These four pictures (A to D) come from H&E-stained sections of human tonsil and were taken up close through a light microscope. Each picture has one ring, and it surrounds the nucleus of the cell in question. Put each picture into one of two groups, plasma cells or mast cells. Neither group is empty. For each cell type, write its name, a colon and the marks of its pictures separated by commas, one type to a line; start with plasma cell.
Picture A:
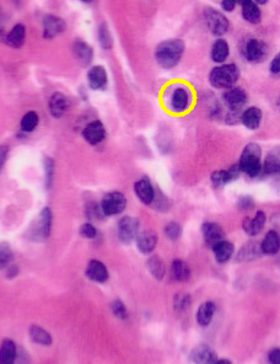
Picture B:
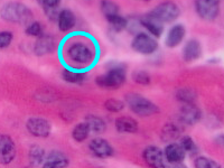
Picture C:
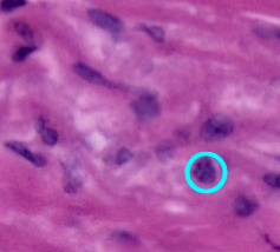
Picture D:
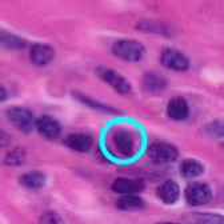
plasma cell: B, D
mast cell: A, C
